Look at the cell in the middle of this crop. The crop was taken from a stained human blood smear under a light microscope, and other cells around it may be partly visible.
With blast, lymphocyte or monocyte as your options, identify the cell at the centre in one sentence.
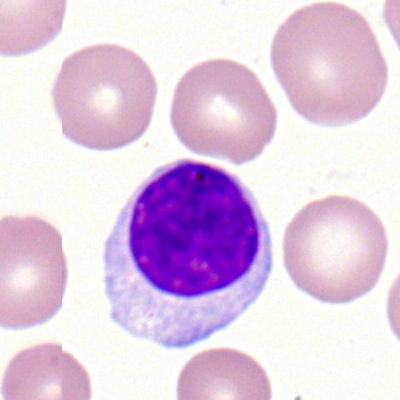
The crop shows a lymphocyte in its centre.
